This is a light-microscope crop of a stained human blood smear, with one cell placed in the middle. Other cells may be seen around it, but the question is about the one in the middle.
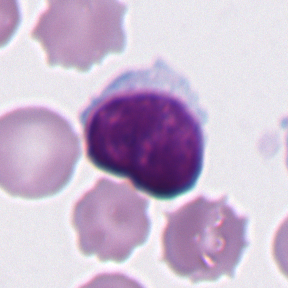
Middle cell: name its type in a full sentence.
Looking at the middle of the crop, the cell there is a typical lymphocyte.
